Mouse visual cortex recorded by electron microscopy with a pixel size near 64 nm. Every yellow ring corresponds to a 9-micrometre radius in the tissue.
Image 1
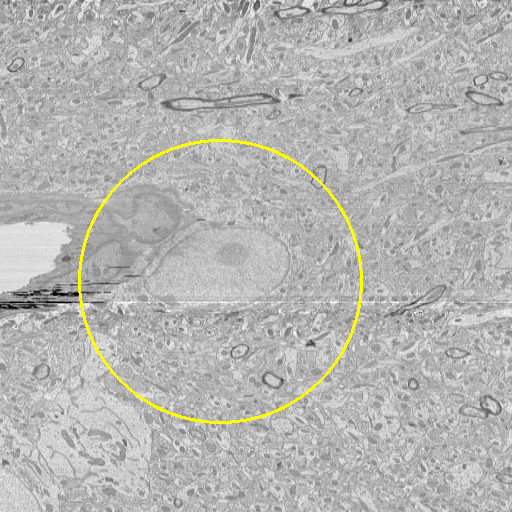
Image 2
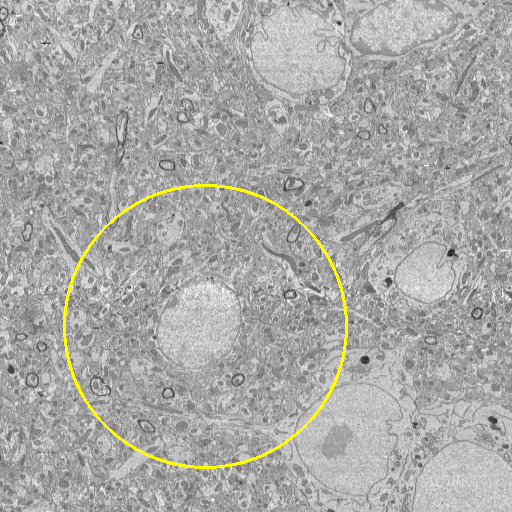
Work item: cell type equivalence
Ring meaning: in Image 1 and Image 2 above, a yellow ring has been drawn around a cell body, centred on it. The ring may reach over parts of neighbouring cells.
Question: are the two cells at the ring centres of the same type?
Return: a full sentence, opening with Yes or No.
Yes, the two centred cells are of the same type.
